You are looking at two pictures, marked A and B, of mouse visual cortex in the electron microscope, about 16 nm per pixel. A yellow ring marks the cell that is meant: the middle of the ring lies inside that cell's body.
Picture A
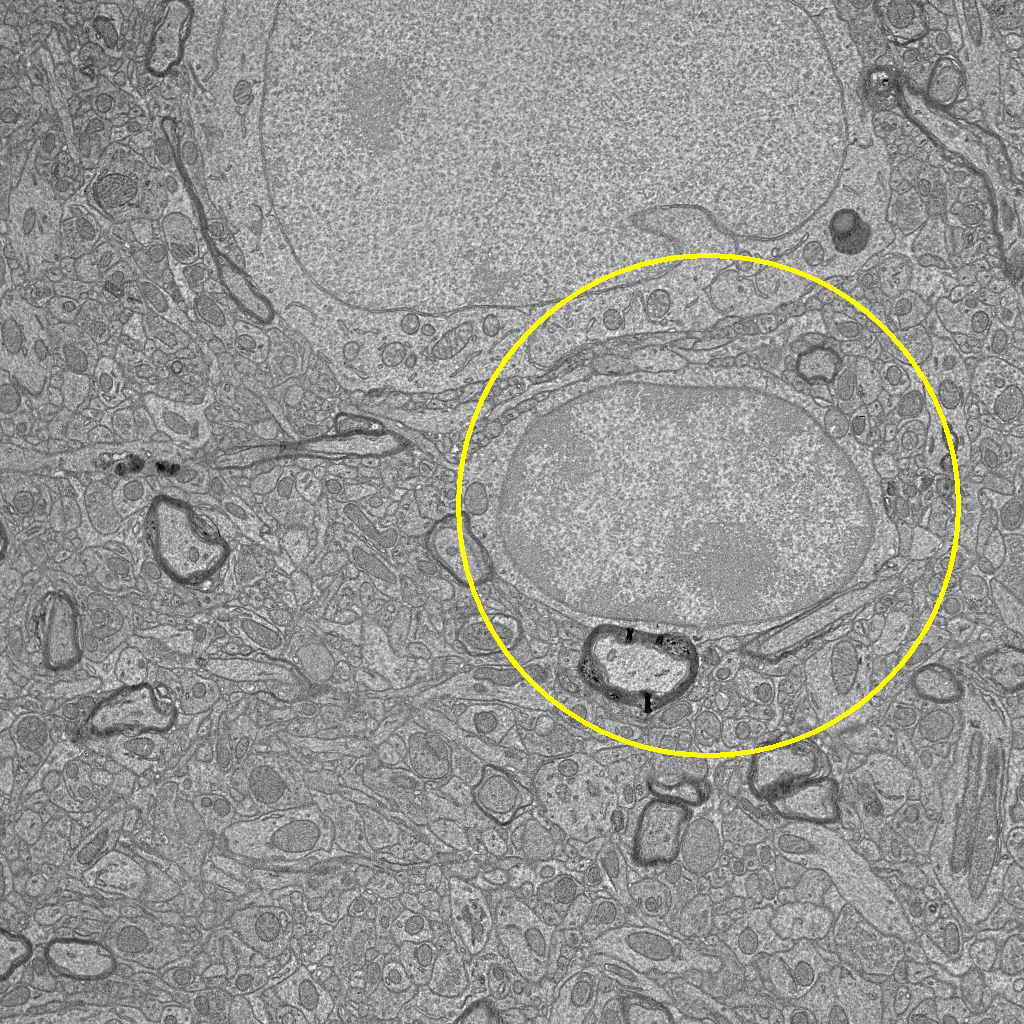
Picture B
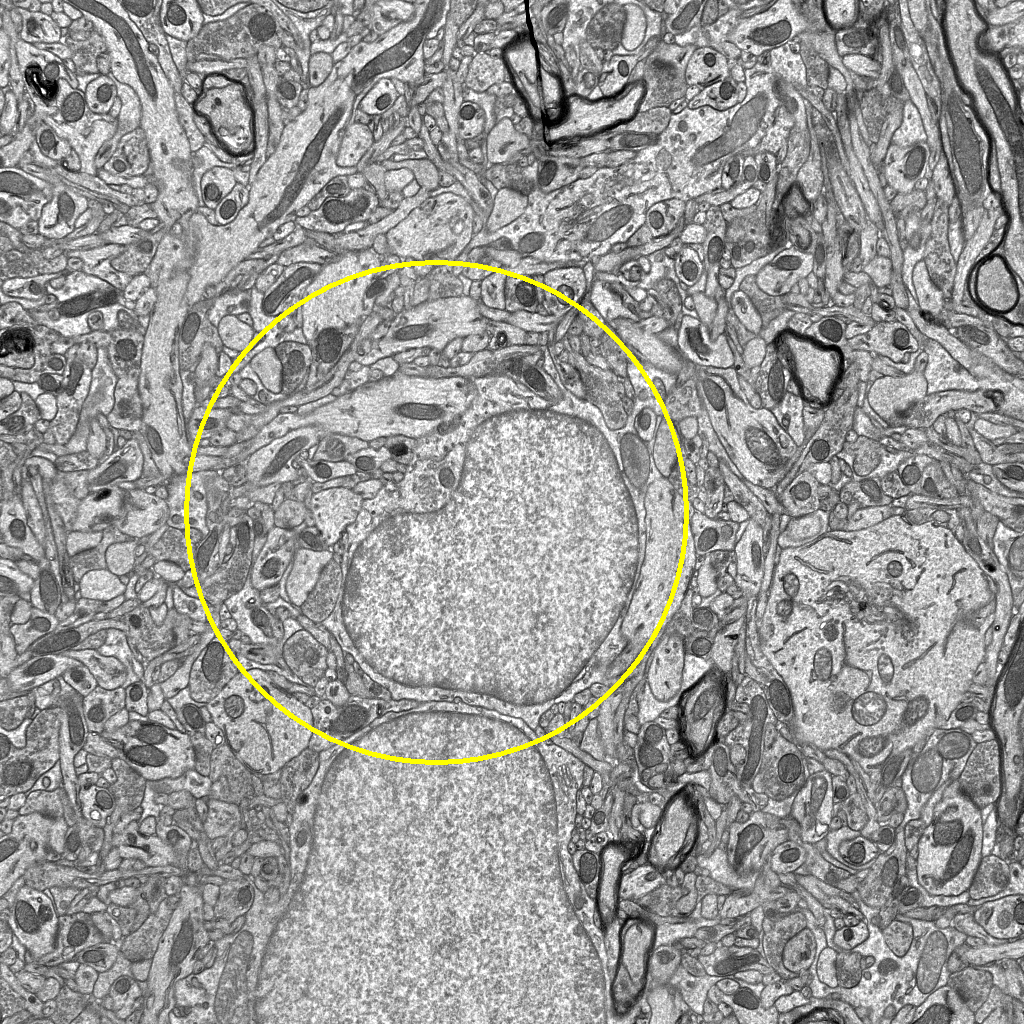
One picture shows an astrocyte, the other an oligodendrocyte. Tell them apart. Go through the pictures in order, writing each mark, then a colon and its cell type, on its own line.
A: oligodendrocyte
B: astrocyte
